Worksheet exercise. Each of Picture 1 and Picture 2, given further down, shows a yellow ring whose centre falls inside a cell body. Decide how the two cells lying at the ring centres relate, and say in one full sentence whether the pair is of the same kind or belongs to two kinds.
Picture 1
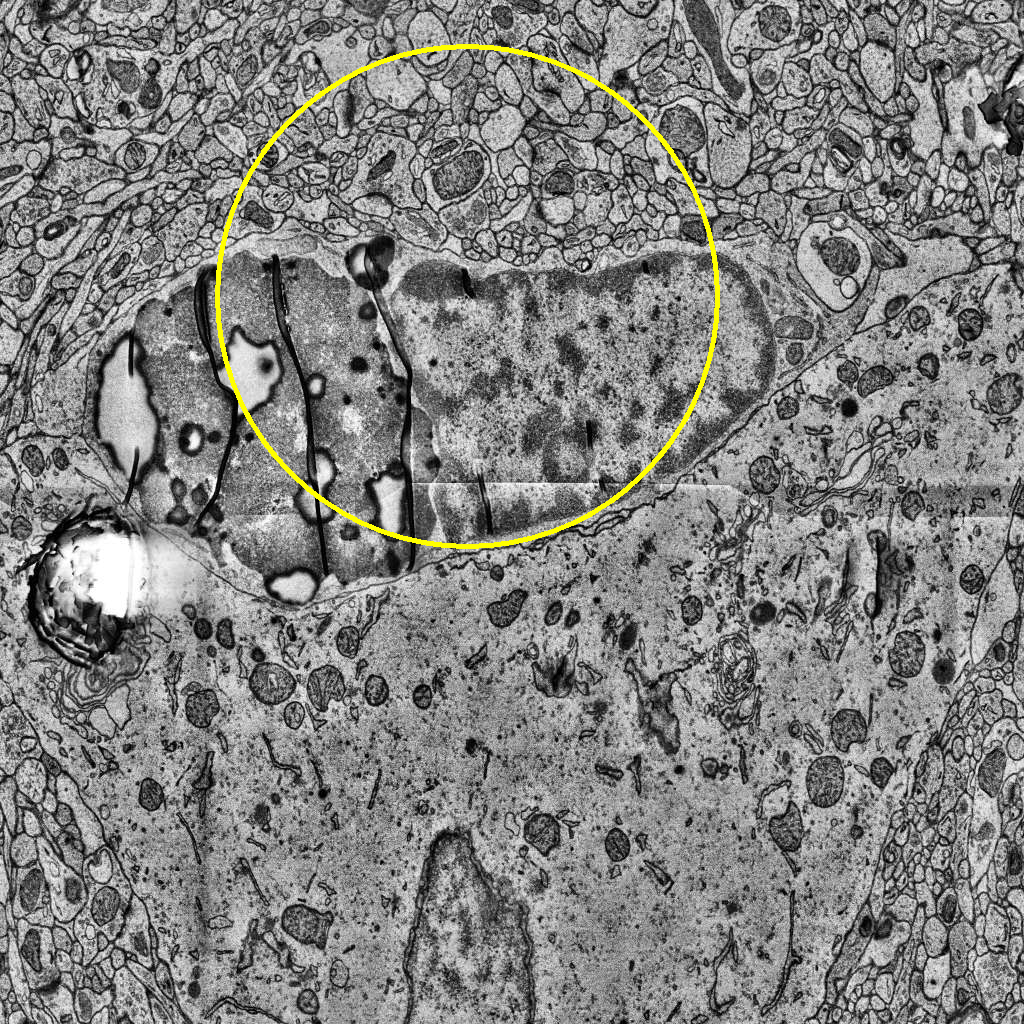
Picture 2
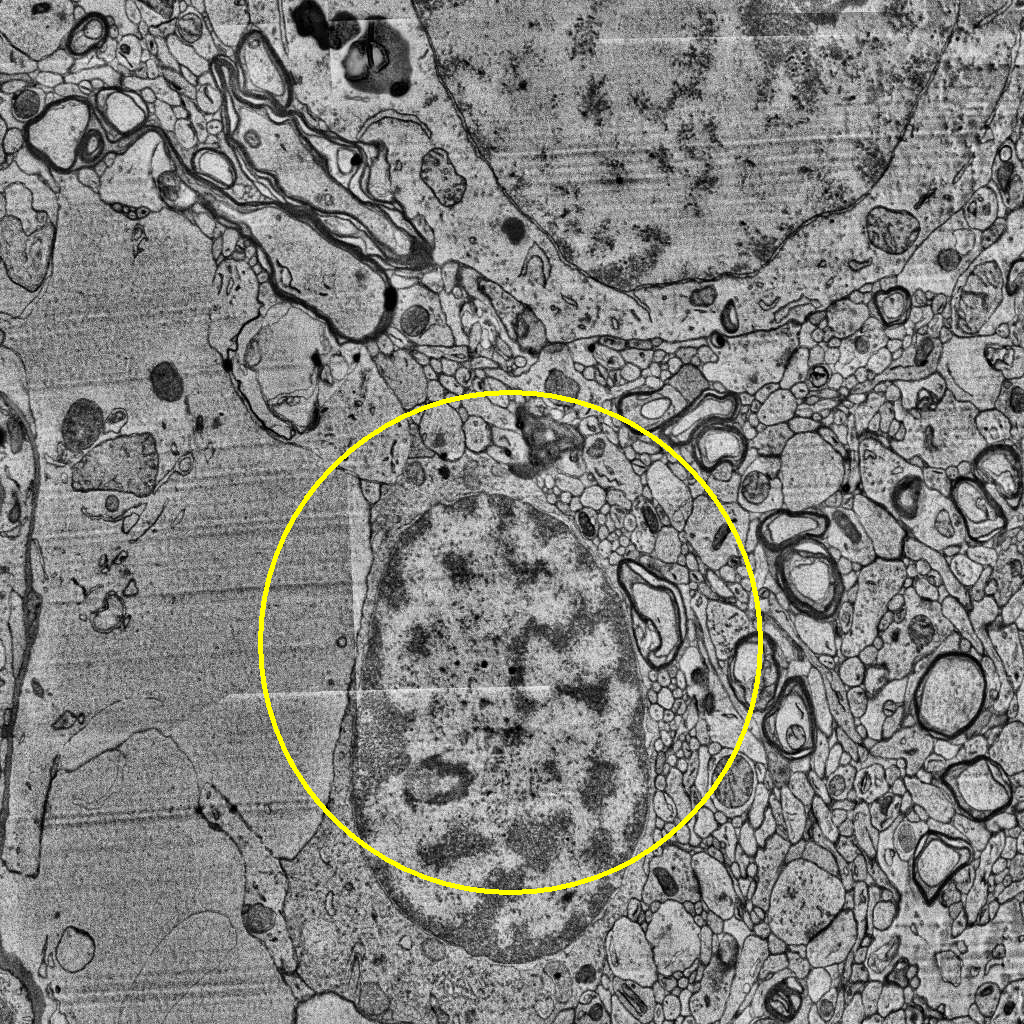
The cells at the ring centres in Picture 1 and Picture 2 belong to two kinds.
